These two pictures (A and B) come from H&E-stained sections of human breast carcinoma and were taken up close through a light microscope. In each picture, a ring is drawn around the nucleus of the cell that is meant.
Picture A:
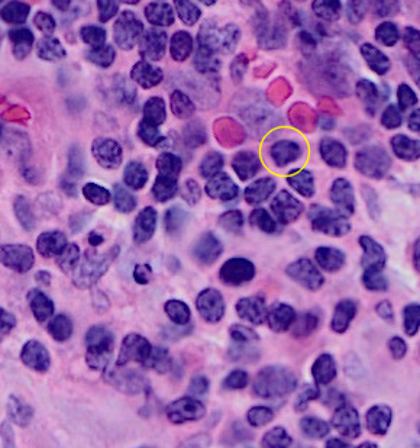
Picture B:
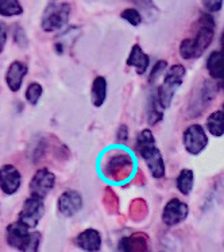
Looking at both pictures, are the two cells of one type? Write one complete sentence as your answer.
No, the types are not the same, since picture A shows a lymphocyte and picture B an endothelial cell.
